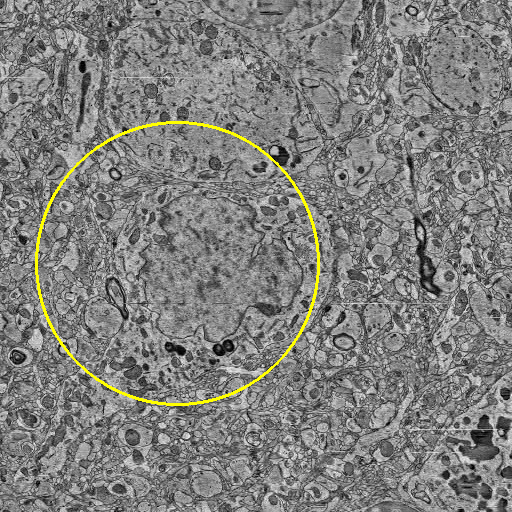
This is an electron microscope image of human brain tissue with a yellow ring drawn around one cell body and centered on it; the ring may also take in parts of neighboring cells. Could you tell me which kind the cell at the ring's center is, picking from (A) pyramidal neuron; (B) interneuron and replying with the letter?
B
